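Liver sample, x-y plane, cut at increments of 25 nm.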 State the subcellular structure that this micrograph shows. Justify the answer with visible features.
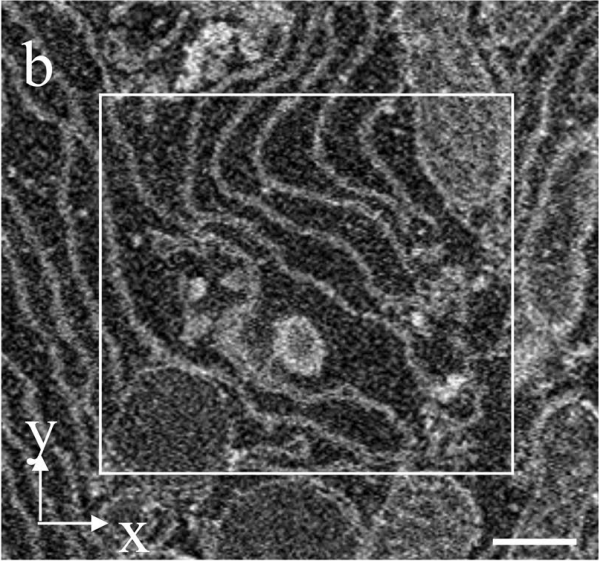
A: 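Many thin bright wavy membranes run roughly parallel to one another. The membranes are stacked in curving layers separated by dark spaces. A few oval organelles lie among the membrane stacks.
Conclusion: membranes of endoplasmic reticulum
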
